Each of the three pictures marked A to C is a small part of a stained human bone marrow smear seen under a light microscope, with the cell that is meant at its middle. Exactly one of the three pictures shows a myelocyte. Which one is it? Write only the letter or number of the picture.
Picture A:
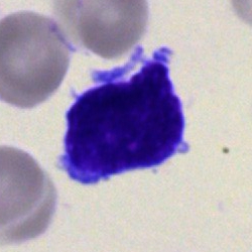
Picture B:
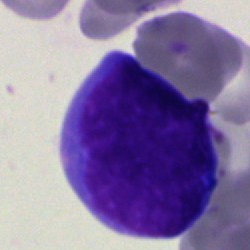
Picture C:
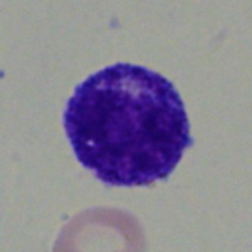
C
